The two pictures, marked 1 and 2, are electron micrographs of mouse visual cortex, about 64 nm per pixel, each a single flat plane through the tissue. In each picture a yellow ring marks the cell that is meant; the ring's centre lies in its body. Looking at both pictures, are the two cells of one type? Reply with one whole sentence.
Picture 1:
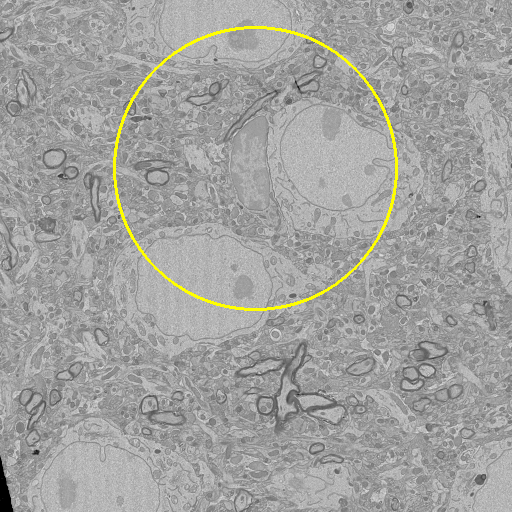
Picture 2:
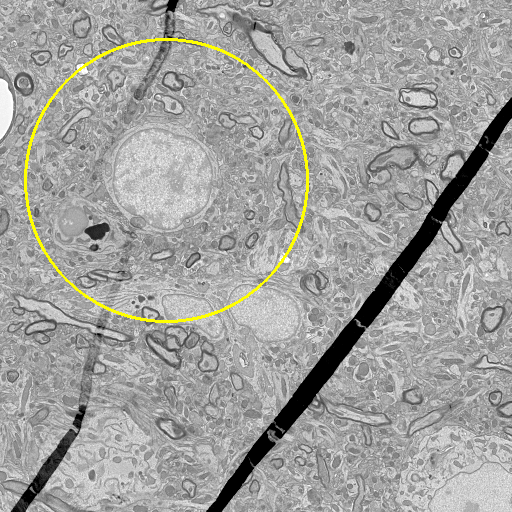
No. Picture 1 shows a microglial cell, but picture 2 shows an oligodendrocyte.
